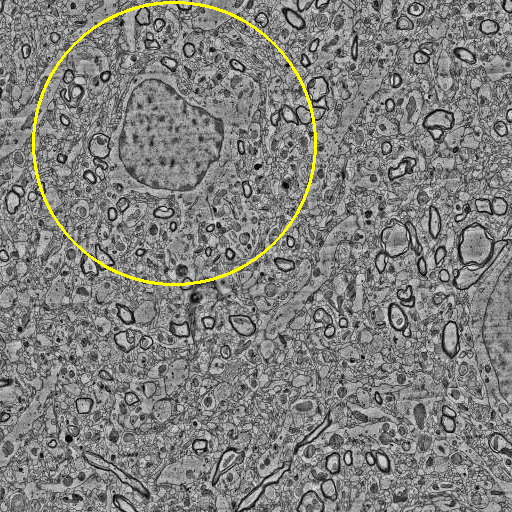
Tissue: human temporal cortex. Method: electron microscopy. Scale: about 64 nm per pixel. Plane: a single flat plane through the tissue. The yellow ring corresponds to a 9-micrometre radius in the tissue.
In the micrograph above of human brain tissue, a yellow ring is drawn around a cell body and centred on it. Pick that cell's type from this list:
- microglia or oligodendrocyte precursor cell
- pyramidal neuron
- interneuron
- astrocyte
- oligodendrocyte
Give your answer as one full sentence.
Going by the list, a microglial cell or oligodendrocyte precursor cell is the cell on which the yellow ring is centred.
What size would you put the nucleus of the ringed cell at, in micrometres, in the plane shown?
In this plane, roughly 7 micrometres across.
